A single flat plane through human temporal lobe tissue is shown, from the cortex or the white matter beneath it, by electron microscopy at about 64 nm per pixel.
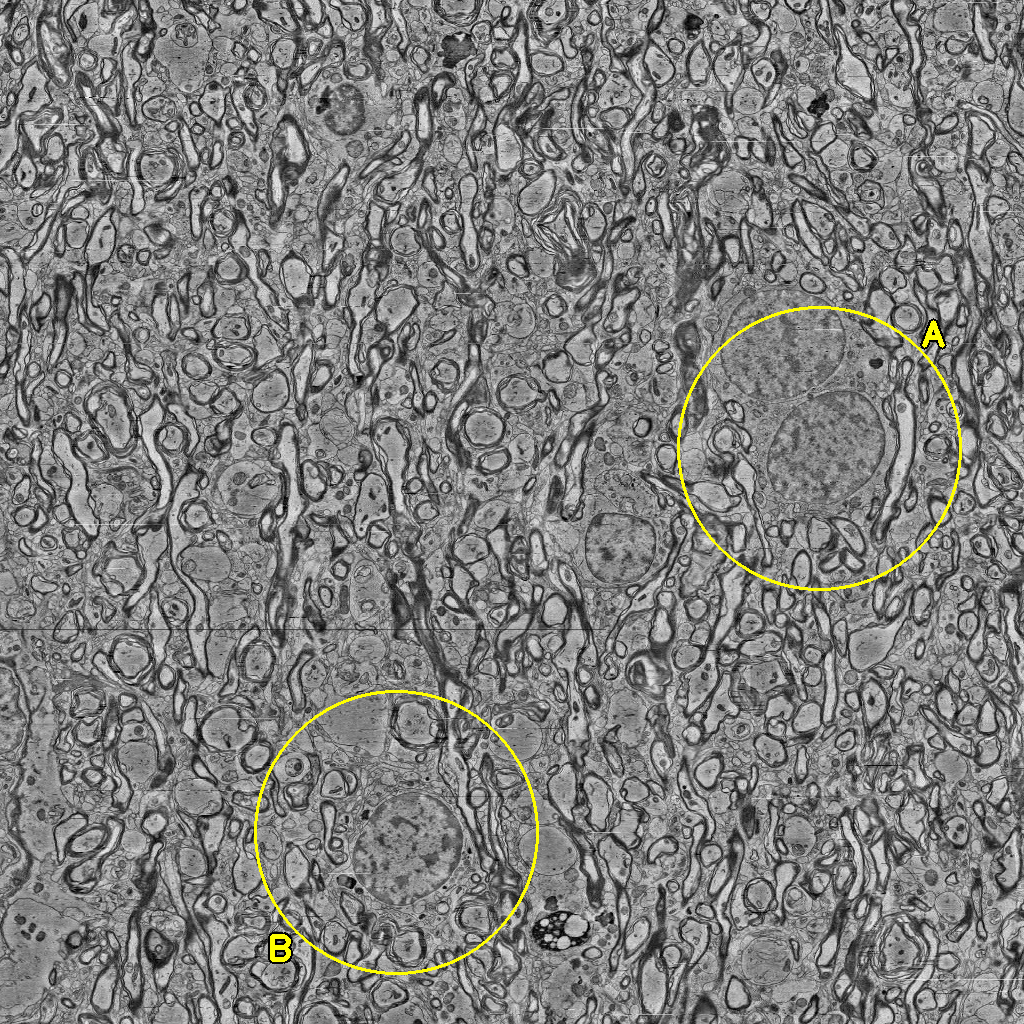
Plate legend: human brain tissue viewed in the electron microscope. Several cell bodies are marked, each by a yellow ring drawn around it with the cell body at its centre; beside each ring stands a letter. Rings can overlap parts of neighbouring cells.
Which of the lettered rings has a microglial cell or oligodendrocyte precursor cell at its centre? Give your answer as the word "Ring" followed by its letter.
Ring B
